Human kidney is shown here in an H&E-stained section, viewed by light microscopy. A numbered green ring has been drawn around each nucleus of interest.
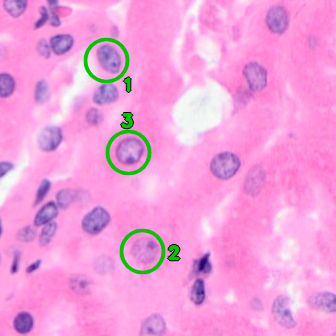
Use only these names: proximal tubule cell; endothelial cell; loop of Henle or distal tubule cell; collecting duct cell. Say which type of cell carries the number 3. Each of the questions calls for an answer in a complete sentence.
At number 3, the marked cell is a proximal tubule cell.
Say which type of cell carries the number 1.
Cell 1 in the field of view is a collecting duct cell.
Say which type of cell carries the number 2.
The cell given label 2 is a proximal tubule cell.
